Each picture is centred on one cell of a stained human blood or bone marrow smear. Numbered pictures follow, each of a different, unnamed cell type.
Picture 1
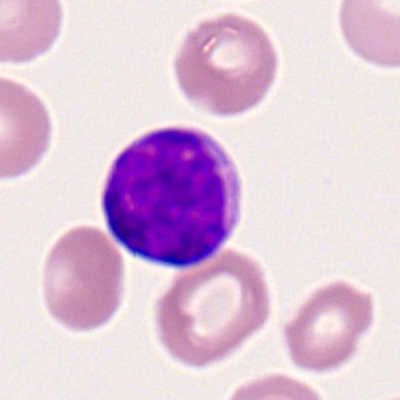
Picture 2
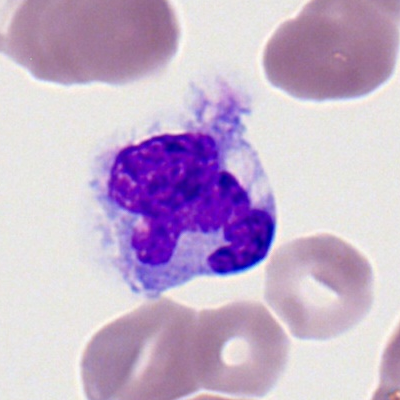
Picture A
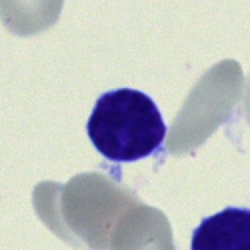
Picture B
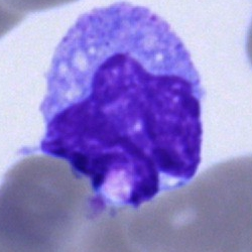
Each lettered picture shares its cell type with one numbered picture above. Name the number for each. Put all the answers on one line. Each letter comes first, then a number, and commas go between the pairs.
A 1, B 2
